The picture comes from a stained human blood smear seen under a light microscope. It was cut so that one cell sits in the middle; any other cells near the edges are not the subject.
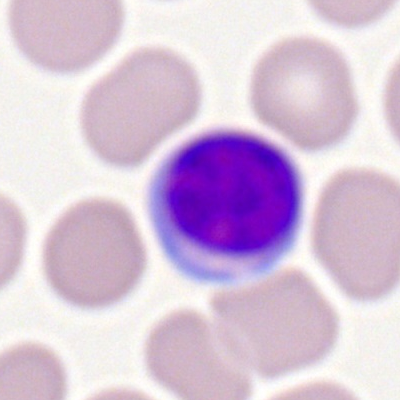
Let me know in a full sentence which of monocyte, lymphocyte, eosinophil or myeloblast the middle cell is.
Located at the centre of the crop is a lymphocyte.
